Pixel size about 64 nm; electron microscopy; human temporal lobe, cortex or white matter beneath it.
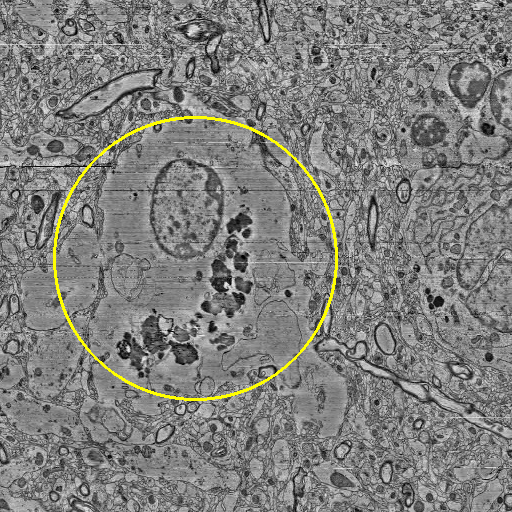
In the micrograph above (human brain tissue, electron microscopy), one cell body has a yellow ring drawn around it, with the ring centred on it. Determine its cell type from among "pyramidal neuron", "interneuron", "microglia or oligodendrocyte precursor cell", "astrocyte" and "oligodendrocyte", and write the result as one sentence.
The cell whose body is ringed is an astrocyte.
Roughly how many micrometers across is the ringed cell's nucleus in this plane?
About 7 by 5 micrometers, in this plane.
